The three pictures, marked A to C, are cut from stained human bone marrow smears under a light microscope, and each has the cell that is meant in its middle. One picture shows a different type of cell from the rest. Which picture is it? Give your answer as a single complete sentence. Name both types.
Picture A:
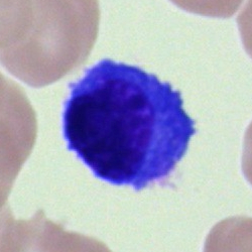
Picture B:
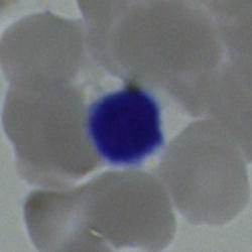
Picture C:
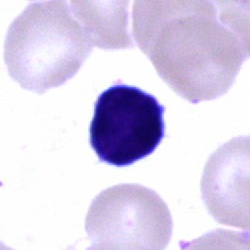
Picture A differs, because its cell is a plasma cell and the rest are lymphocytes.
